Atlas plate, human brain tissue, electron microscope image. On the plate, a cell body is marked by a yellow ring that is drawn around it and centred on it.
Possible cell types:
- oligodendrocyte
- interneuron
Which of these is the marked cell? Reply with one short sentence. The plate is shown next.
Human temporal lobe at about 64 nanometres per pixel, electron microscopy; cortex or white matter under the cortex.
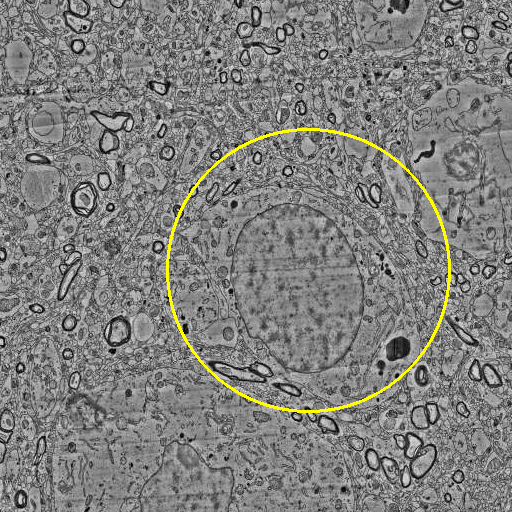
The marked cell is an interneuron.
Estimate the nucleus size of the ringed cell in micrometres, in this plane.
About 11 micrometres by about 8 micrometres in this plane.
